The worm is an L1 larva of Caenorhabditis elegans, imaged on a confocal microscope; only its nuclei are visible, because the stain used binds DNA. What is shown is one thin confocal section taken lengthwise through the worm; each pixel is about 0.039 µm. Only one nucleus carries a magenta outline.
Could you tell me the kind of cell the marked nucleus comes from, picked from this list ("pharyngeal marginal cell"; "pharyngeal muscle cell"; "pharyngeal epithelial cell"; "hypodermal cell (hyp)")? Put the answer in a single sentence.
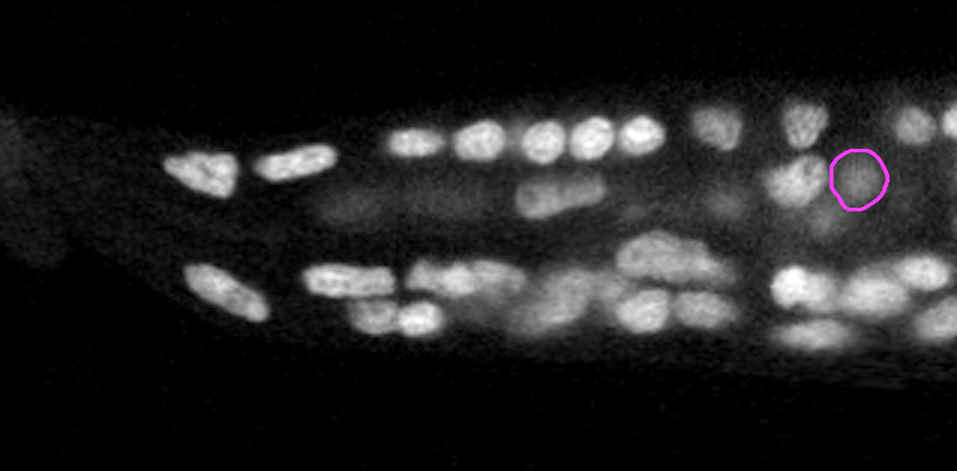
It belongs to a pharyngeal muscle cell.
